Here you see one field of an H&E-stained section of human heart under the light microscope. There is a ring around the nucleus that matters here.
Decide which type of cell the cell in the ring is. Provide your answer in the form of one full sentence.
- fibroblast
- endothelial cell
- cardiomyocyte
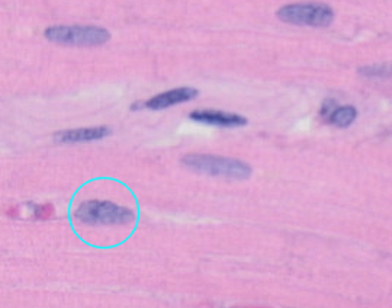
In this preparation, the cell in the ring is a cardiomyocyte.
